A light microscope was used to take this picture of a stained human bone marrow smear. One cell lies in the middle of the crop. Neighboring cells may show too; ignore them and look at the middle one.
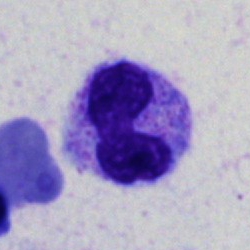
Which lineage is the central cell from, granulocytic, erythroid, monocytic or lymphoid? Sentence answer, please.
The lineage to which the central cell belongs is granulocytic.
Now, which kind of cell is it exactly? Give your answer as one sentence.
In the crop, the cell of interest at the centre is a band neutrophil.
